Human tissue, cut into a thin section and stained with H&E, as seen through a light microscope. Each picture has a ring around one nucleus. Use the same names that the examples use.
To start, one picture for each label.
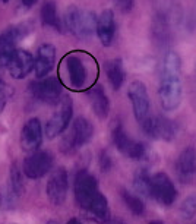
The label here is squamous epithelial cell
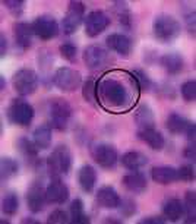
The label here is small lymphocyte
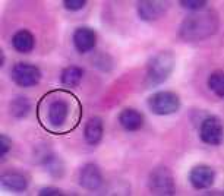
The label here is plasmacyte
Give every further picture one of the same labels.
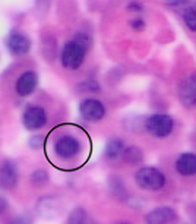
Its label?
plasmacyte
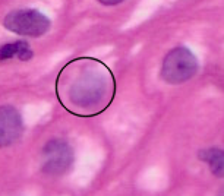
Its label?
squamous epithelial cell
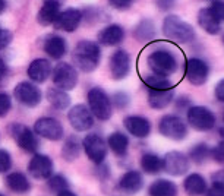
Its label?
small lymphocyte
